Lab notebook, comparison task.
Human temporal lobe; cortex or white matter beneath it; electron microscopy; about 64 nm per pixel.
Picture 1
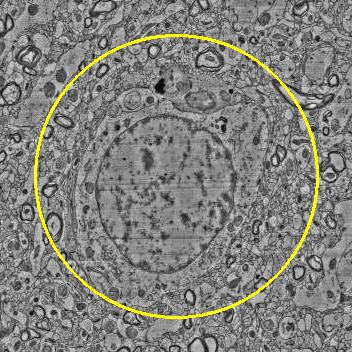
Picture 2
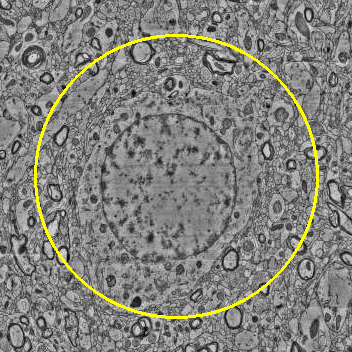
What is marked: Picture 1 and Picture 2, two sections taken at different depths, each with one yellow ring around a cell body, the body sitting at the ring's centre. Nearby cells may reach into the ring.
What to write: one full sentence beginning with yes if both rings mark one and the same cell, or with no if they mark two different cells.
Yes, the two rings mark one cell and not separate cells.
